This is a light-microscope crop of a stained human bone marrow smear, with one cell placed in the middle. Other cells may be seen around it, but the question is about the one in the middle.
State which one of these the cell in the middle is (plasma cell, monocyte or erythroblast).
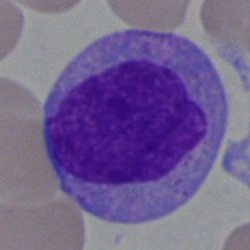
monocyte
